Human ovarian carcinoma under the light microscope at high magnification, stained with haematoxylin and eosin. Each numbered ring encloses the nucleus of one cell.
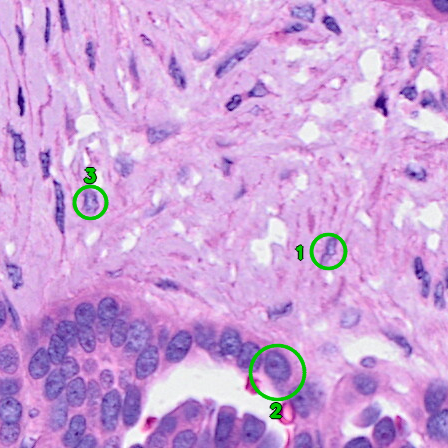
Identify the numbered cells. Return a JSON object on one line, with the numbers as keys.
{"1": "fibroblast", "2": "carcinoma cell", "3": "fibroblast"}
